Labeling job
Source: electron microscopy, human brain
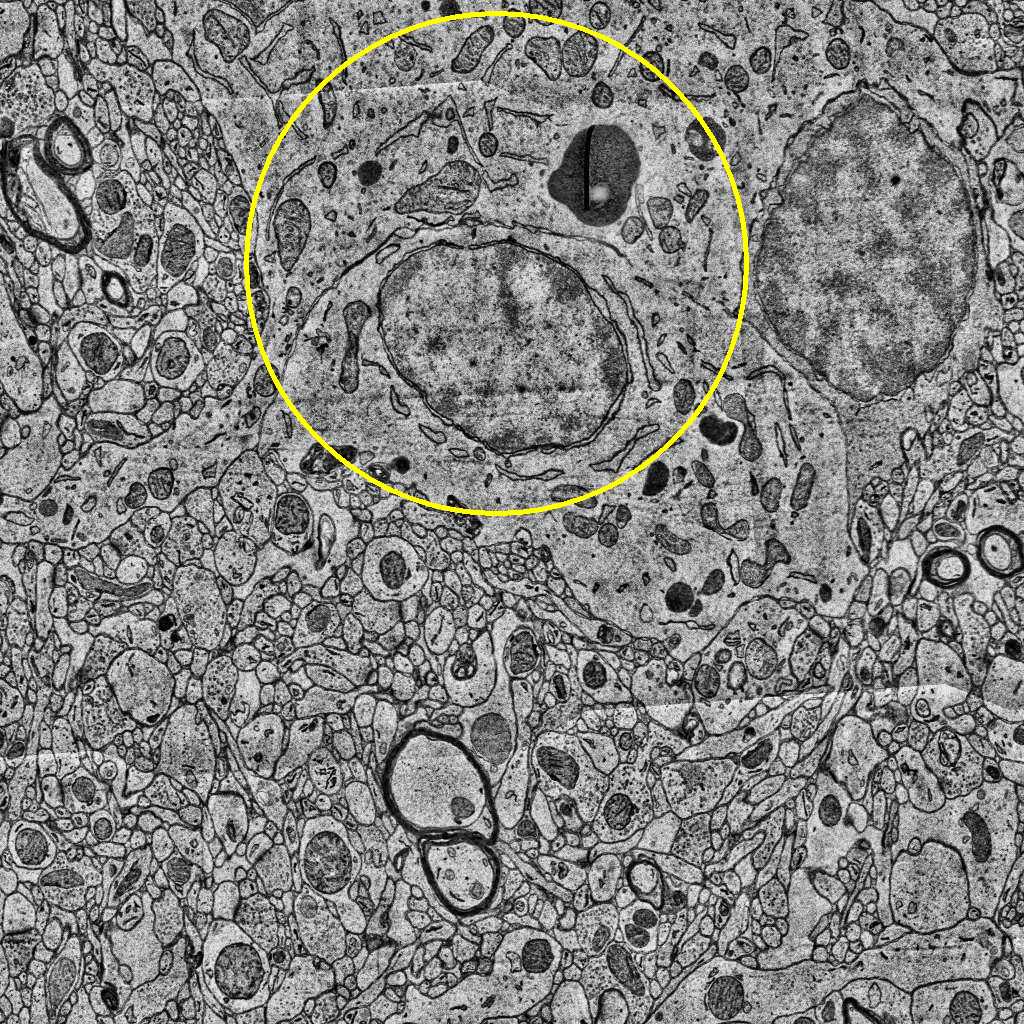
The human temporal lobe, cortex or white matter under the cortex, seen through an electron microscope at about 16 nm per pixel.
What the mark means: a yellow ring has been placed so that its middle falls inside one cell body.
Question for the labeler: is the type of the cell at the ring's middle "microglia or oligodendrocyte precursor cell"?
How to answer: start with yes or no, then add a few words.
Yes, that is its type.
